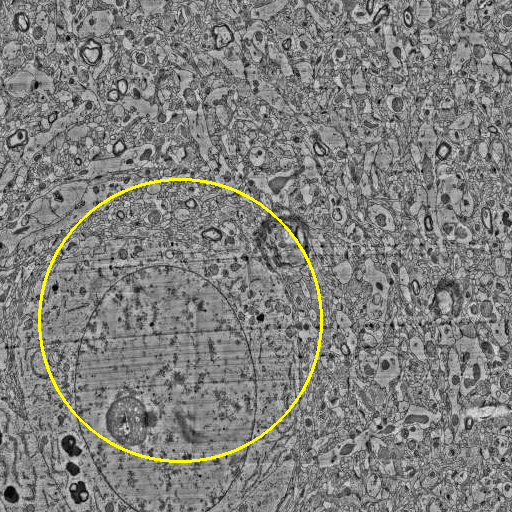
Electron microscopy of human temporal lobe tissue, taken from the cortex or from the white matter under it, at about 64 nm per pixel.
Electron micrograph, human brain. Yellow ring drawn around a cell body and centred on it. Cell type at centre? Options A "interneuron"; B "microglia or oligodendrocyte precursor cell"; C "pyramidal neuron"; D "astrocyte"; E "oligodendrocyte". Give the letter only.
C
